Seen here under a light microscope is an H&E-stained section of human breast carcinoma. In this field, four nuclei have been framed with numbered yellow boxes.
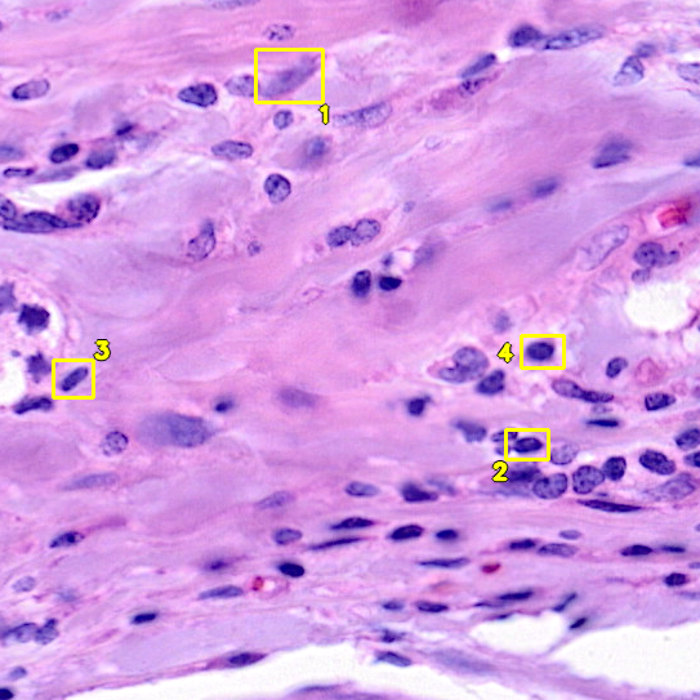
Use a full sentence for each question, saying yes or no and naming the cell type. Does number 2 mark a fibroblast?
No, the nucleus numbered 2 belongs to a lymphocyte, not a fibroblast.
